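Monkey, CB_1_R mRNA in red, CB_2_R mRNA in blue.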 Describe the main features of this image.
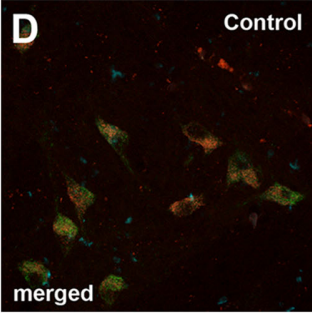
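Most cell bodies appear yellow to orange, where the green label and the granular red label overlap within the same cytoplasm. The labelled cell bodies are polygonal or spindle-shaped, some with short tapering processes. Small blue specks and faint blue tinges are spread through the field and over some cells, weaker than the red. The labelled cells lie singly against a dark background.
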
